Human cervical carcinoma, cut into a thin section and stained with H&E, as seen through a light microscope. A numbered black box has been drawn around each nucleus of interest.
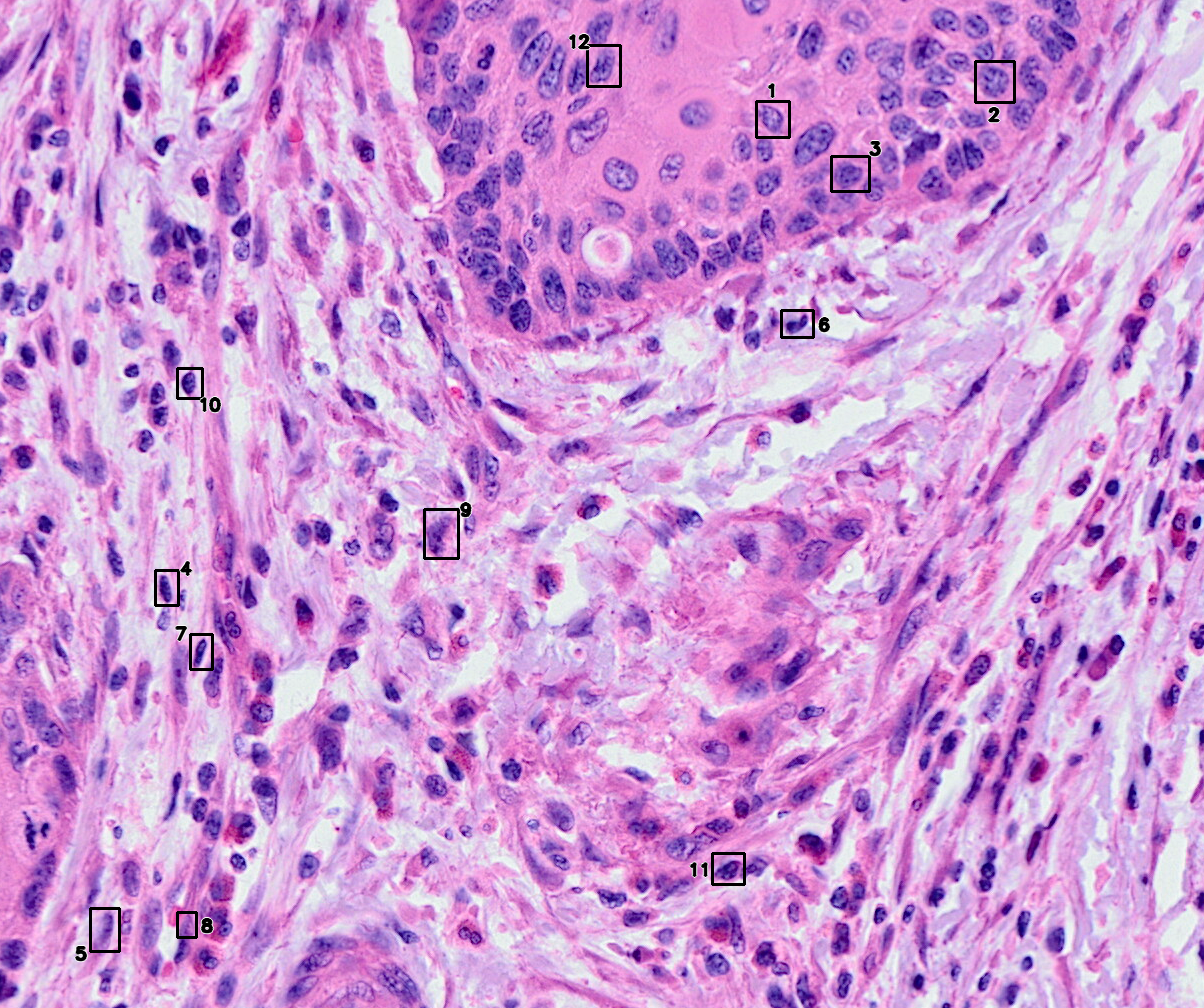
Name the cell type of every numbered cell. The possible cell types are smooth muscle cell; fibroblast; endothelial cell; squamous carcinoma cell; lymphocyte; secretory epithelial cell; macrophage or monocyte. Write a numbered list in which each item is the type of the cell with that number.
1. squamous carcinoma cell
2. squamous carcinoma cell
3. squamous carcinoma cell
4. lymphocyte
5. fibroblast
6. lymphocyte
7. lymphocyte
8. endothelial cell
9. macrophage or monocyte
10. lymphocyte
11. lymphocyte
12. squamous carcinoma cell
